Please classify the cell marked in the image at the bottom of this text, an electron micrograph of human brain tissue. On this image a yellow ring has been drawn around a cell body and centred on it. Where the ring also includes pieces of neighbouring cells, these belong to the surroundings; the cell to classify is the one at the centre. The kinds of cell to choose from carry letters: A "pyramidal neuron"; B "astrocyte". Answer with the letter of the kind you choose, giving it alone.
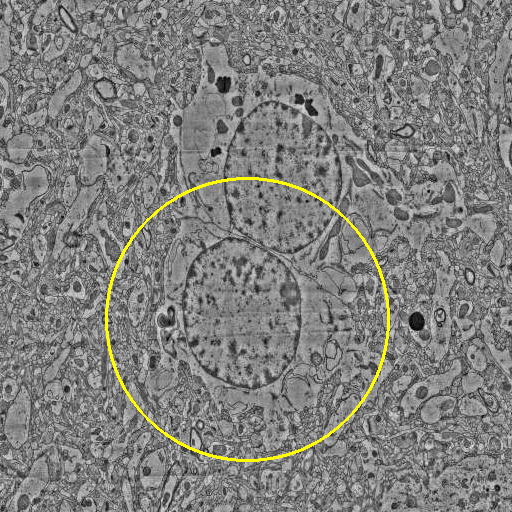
B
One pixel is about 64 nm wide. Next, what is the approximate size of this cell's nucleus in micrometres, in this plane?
Roughly 10 by 8 micrometres is the size of the nucleus in this plane.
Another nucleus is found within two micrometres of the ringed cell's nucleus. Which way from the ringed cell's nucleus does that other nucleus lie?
The other nucleus is located above it.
